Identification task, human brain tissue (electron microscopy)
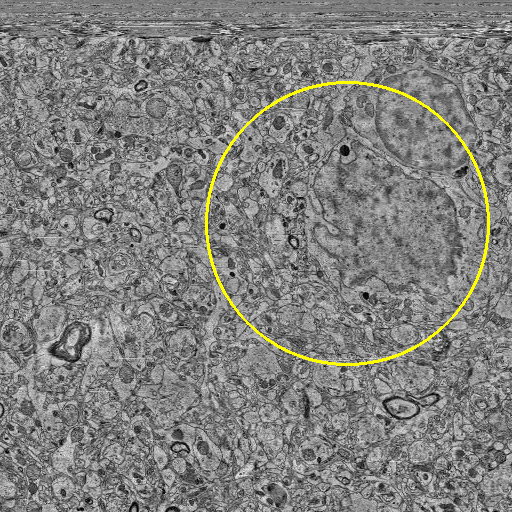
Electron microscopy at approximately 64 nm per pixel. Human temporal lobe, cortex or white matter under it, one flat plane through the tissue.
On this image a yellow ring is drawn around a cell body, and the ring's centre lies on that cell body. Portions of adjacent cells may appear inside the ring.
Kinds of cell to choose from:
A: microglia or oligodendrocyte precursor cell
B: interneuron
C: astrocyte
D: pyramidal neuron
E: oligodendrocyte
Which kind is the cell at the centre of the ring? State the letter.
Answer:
B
